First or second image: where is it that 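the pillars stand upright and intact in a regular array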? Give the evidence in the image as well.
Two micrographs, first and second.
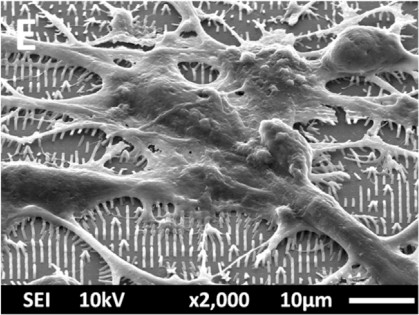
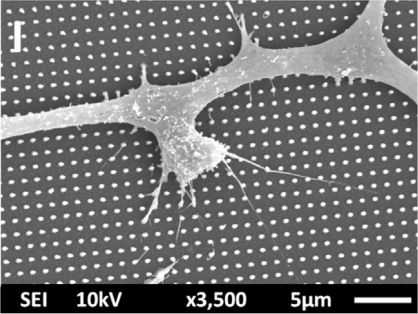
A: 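Second image: the pillars appear as distinct, evenly spaced upright dots around the cell. First image: the pillars appear as leaning, streaked rows that run together beneath the cell. On this evidence: the second image.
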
